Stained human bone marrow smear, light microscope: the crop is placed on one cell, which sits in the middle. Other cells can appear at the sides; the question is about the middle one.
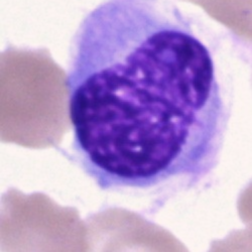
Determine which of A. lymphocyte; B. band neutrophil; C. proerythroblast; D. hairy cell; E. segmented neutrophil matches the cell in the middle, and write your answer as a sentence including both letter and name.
The central cell is a hairy cell, which makes option D the right answer.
